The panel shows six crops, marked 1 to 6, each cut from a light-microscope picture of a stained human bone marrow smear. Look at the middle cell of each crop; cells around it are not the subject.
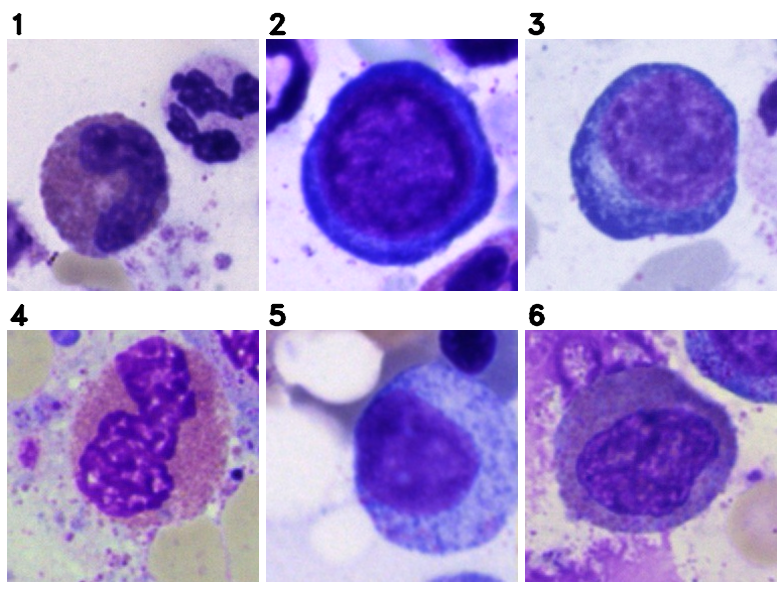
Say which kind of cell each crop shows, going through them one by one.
1: eosinophil
2: proerythroblast
3: proerythroblast
4: eosinophil
5: promyelocyte
6: eosinophil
